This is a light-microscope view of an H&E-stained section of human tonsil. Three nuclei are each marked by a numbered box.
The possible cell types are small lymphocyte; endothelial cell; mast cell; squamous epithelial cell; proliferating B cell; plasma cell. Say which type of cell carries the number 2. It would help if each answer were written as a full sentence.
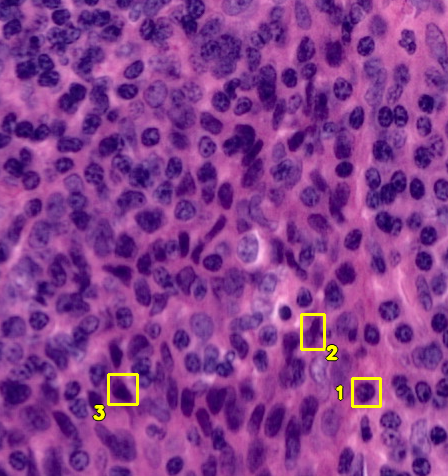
The cell that bears the number 2 is a squamous epithelial cell.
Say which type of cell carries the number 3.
The cell tagged with 3 in this tissue section is a squamous epithelial cell.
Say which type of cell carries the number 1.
The cell bearing label 1 corresponds to a plasma cell.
